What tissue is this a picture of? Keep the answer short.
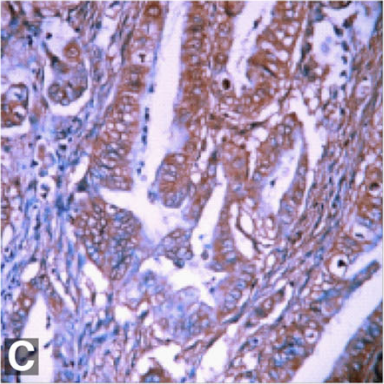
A: Highly differentiated adenocarcinoma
